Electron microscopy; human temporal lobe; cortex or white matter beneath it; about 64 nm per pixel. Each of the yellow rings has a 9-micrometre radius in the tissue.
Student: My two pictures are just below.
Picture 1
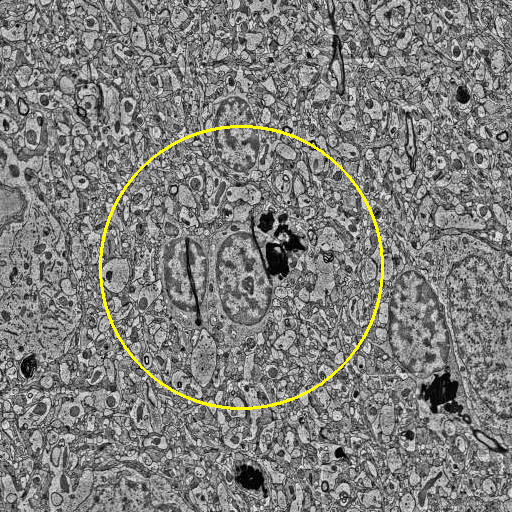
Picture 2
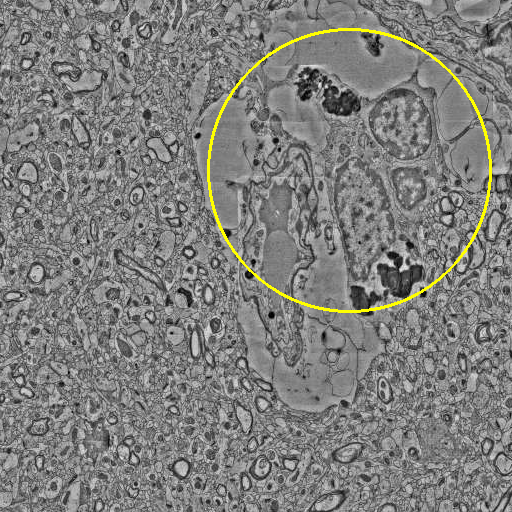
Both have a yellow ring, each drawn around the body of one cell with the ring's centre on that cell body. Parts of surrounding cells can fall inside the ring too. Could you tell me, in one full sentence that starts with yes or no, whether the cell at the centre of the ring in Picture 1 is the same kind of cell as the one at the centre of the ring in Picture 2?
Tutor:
Yes, the two cells are of the same kind.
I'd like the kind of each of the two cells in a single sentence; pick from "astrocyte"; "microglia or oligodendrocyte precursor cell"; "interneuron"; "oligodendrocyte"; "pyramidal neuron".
Both pictures show an oligodendrocyte at the centre of the ring.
